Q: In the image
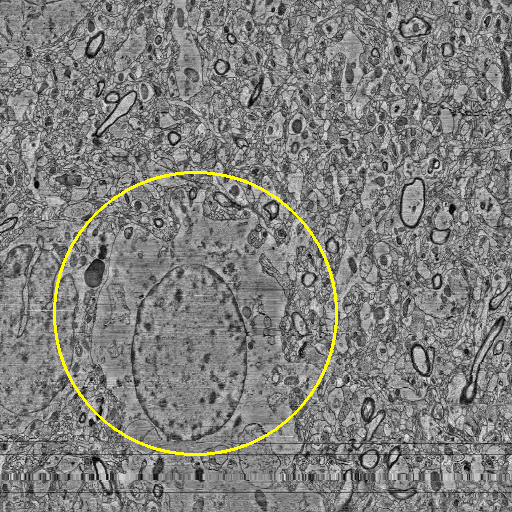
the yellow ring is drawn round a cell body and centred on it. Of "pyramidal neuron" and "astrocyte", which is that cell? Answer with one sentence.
The cell centred in the ring is an astrocyte.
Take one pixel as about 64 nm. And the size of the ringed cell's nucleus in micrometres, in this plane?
Approximately 12 by 7 micrometers, which makes the nucleus clearly longer than it is wide in this plane.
